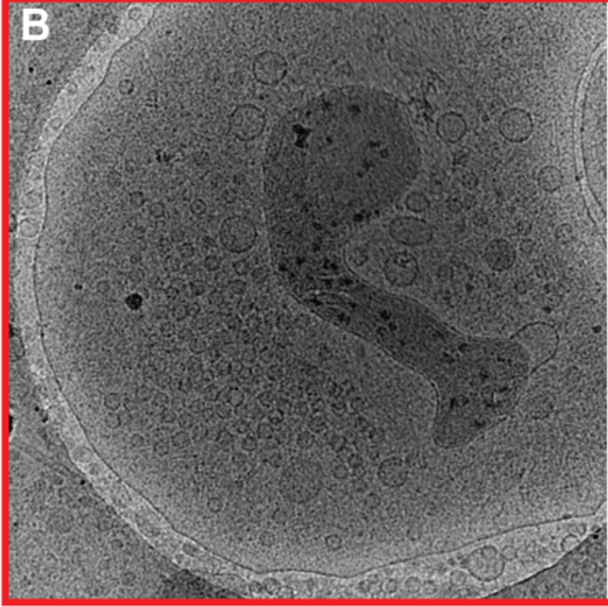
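This cryo-electron micrograph shows a presynaptic release site, a swelling of the axon filled with many small, round, membrane-bounded vesicles. A large elongated and curved mitochondrion of darker density runs through the middle of the swelling.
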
